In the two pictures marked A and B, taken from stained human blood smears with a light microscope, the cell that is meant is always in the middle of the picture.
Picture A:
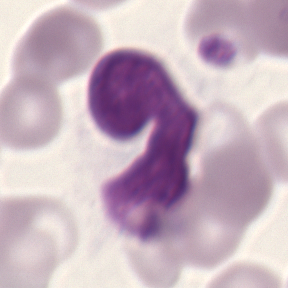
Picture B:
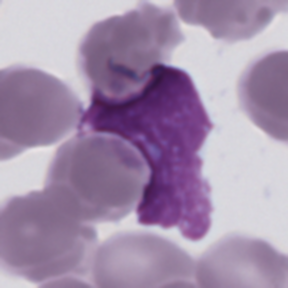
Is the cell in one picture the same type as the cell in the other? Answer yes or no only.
yes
